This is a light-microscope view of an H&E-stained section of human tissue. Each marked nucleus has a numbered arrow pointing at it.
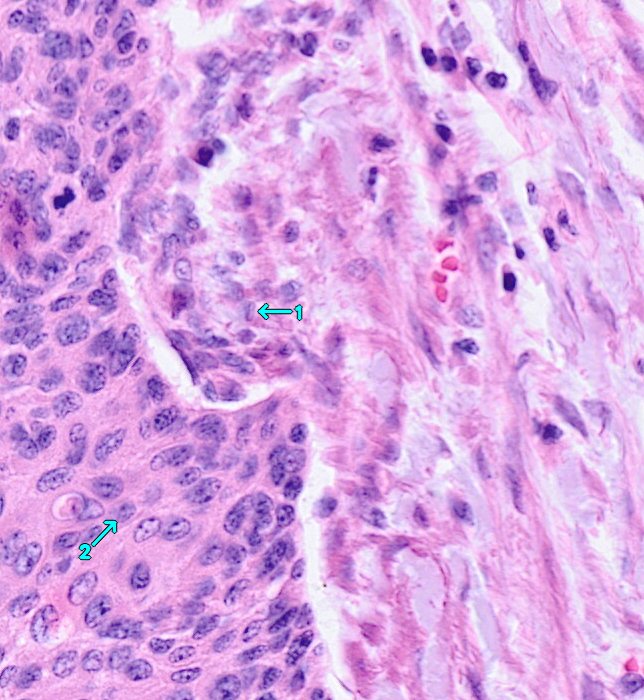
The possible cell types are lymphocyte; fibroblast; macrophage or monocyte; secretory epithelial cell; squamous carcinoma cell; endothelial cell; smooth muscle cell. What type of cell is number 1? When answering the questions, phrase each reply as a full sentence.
Here, the cell given the number 1 is a fibroblast.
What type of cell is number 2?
Cell 2, among those numbered, is a squamous carcinoma cell.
